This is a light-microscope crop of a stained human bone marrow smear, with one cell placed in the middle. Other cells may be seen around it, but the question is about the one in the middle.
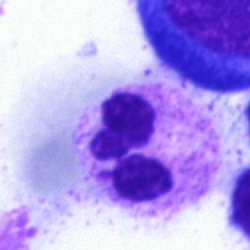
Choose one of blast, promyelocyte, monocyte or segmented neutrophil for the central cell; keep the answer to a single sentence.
The middle of this crop is occupied by a segmented neutrophil.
